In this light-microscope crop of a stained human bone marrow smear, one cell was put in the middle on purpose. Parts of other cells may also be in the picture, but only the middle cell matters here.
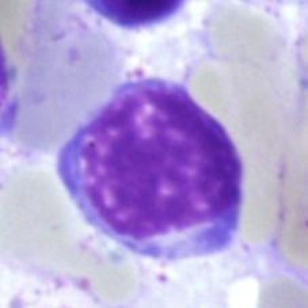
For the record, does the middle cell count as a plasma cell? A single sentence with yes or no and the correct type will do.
No, the central cell is designated a lymphocyte and not a plasma cell.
